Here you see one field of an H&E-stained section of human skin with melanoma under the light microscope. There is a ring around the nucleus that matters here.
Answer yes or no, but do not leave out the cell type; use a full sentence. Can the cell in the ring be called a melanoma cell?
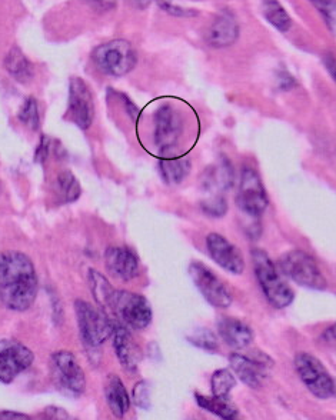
Yes, and to confirm, the cell in the ring is a melanoma cell.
